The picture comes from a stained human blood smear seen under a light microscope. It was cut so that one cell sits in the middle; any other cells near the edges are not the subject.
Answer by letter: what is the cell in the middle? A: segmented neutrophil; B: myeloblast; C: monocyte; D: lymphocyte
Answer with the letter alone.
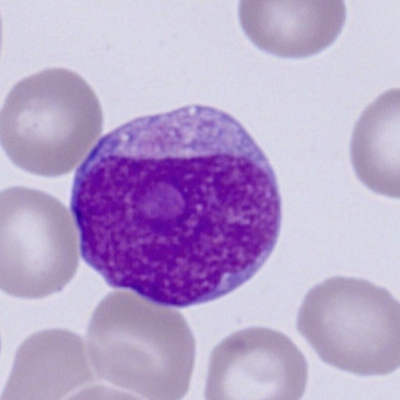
B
